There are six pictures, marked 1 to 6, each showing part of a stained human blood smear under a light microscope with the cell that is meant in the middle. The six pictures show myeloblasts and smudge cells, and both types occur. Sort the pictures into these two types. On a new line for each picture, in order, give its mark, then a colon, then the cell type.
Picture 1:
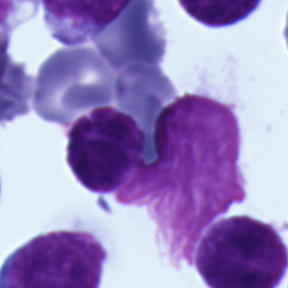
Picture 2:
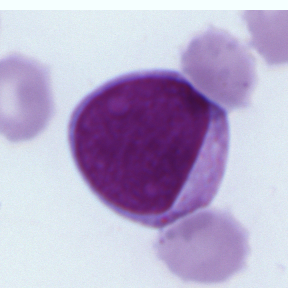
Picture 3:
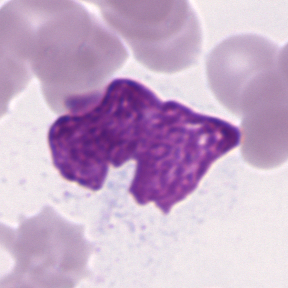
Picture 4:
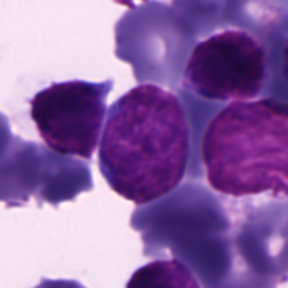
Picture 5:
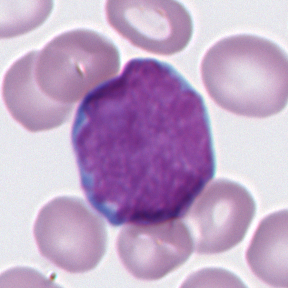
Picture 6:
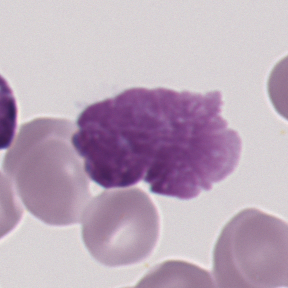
1: smudge cell
2: myeloblast
3: smudge cell
4: myeloblast
5: myeloblast
6: smudge cell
